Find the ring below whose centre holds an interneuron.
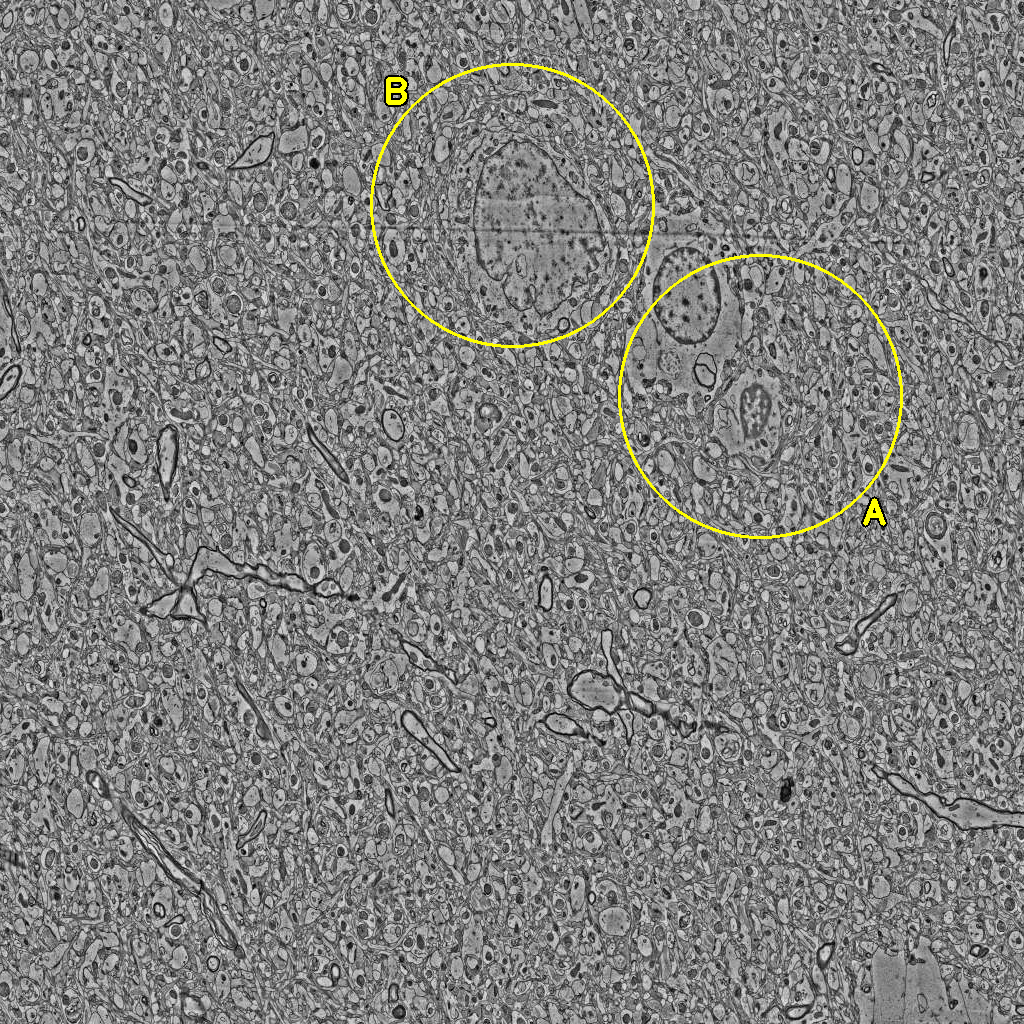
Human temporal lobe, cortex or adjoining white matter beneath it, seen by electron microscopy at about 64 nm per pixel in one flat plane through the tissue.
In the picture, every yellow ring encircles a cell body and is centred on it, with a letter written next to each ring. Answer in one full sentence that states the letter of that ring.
The ring centred on the cell asked for in the picture carries the letter B.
